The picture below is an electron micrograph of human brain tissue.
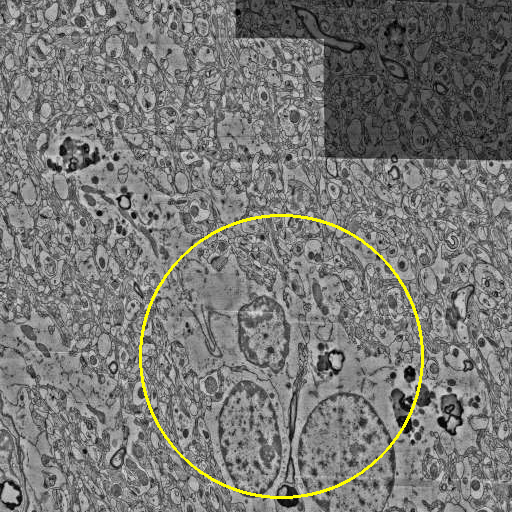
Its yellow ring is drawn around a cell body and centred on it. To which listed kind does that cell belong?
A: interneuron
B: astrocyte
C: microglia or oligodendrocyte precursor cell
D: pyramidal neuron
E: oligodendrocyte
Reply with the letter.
B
